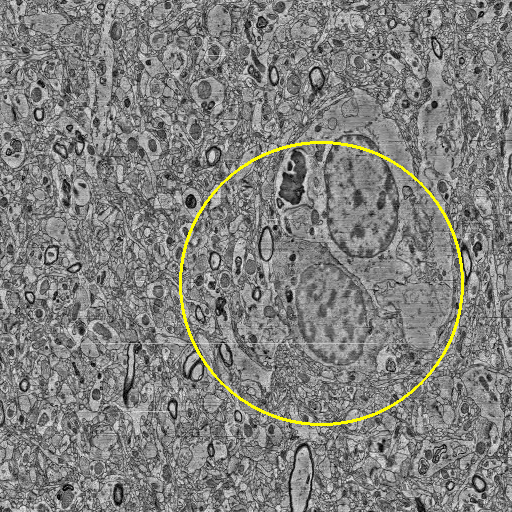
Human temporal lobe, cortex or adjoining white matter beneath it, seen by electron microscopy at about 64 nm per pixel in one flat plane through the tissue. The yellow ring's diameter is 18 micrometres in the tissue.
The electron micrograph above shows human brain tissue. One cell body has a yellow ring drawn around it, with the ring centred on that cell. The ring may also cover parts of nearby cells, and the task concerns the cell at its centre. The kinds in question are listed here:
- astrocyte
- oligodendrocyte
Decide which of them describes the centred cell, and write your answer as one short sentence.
The centred cell is an oligodendrocyte.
